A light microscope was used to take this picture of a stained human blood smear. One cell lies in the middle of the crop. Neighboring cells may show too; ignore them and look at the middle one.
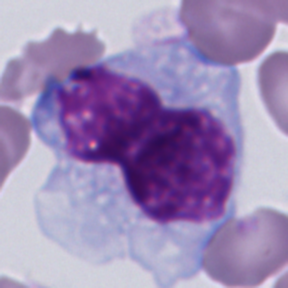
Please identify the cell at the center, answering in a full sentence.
The middle of this crop is occupied by a monocyte.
